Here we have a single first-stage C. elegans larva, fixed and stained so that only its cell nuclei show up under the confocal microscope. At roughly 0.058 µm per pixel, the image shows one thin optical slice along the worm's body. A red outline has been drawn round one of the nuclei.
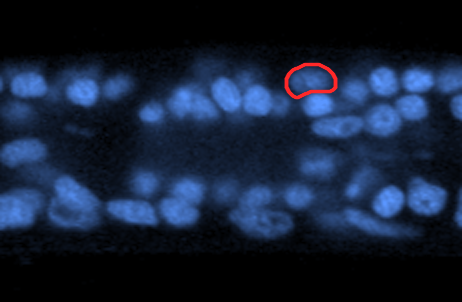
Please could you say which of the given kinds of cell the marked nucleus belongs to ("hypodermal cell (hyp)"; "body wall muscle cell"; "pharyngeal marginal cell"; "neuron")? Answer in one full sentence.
The marked cell is a body wall muscle cell.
